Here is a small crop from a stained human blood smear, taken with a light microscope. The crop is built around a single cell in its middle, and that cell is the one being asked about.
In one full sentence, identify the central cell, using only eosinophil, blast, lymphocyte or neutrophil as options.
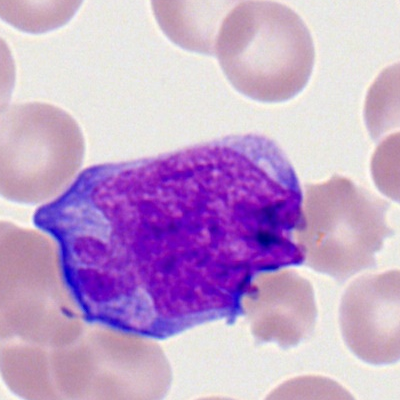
The identification for the central cell is a blast.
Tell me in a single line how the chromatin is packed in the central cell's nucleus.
The chromatin of this one is coarsely clumped.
